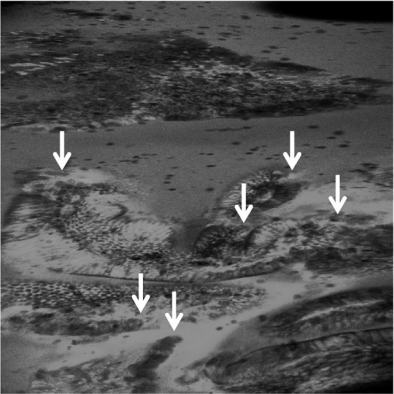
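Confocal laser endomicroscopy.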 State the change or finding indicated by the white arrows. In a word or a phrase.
total breakdown of epithelial contiguity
